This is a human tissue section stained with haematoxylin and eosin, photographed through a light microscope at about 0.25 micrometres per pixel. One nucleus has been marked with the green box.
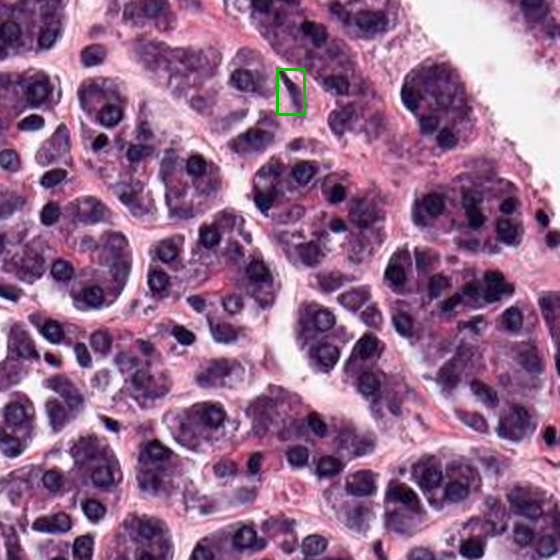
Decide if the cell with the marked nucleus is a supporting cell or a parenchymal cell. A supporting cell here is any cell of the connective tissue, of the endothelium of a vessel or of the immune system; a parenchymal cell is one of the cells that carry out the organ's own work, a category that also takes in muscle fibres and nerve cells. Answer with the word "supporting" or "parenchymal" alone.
supporting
